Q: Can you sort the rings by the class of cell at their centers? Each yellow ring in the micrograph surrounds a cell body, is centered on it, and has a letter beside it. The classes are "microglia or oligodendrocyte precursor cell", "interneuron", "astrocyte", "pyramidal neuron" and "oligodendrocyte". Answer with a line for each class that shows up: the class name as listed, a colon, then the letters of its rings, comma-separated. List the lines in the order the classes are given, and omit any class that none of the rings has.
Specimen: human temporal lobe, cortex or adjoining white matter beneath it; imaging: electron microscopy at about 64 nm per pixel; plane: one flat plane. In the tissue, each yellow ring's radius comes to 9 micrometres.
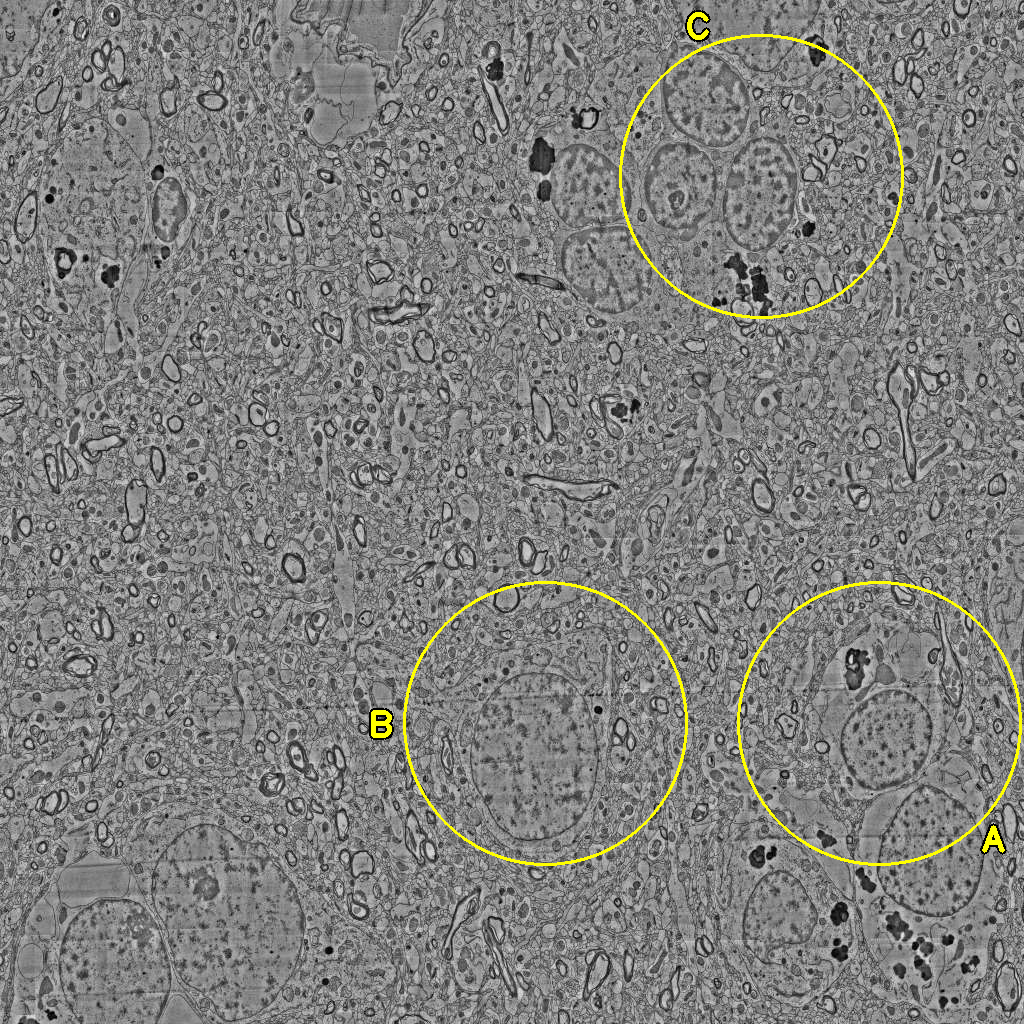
astrocyte: A
pyramidal neuron: B
oligodendrocyte: C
